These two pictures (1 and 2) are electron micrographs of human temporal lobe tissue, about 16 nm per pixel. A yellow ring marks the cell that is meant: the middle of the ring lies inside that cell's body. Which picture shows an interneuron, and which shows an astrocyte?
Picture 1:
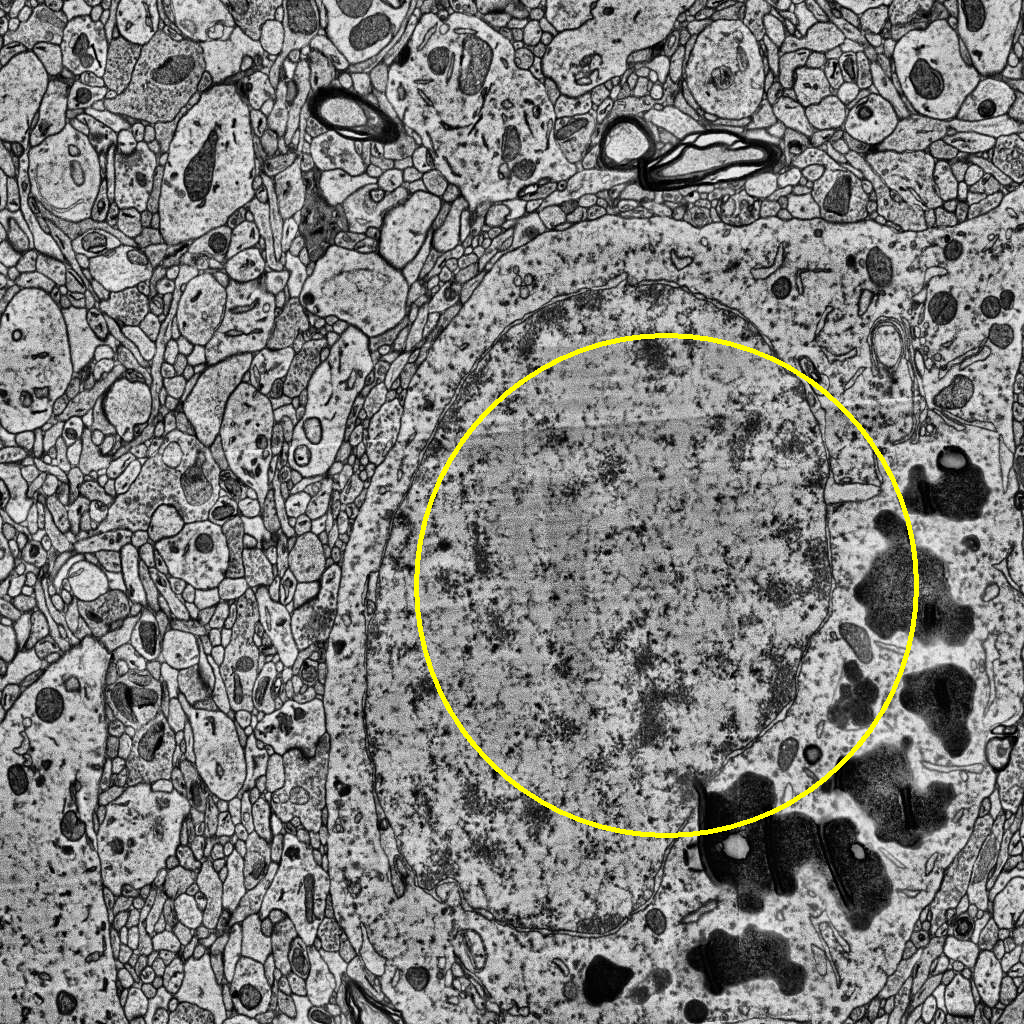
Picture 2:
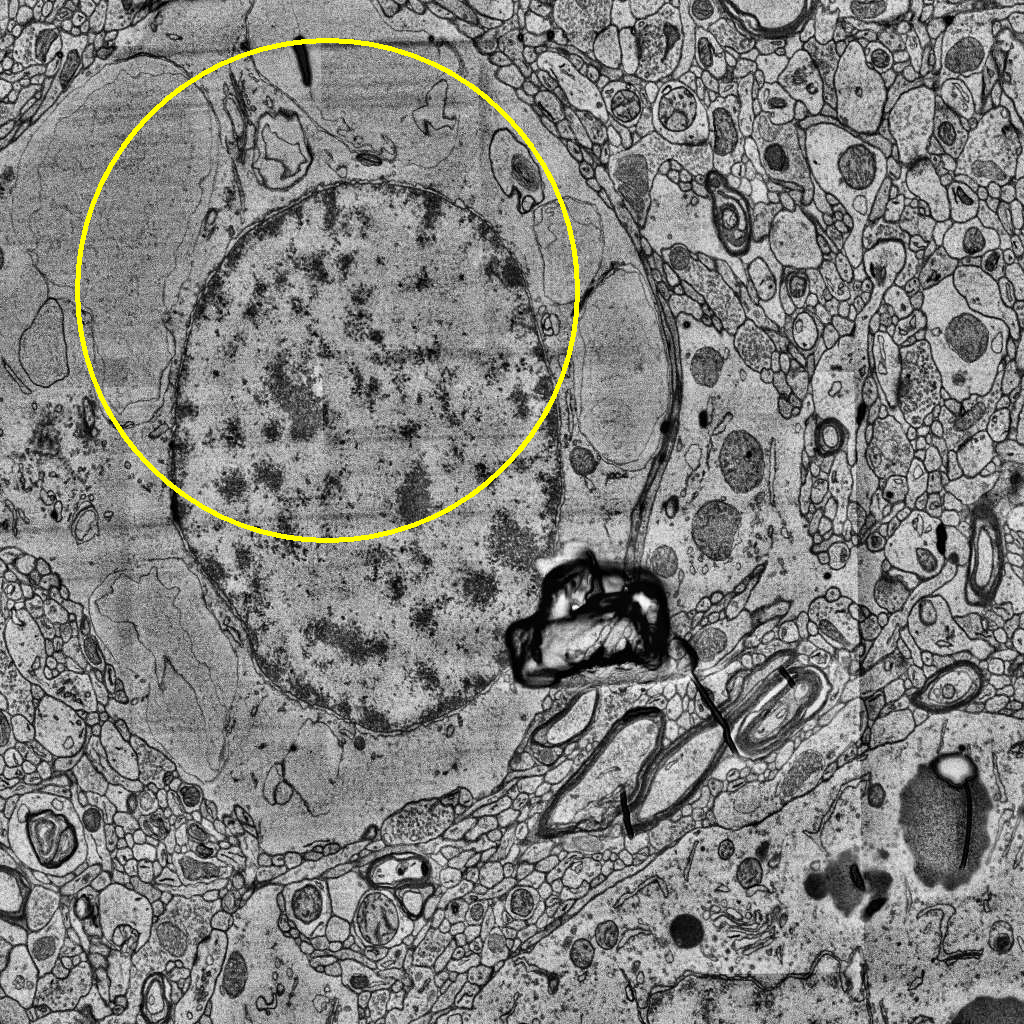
Picture 1 shows an interneuron and picture 2 shows an astrocyte.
